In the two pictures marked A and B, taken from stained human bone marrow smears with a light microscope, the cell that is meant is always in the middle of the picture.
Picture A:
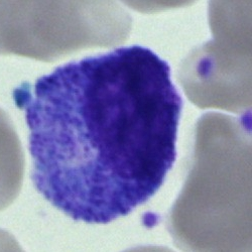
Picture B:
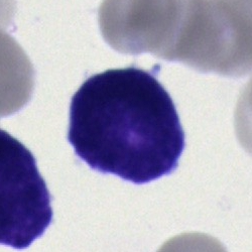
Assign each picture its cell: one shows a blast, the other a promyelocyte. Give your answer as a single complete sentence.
It is picture A that shows a promyelocyte, and picture B that shows a blast.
